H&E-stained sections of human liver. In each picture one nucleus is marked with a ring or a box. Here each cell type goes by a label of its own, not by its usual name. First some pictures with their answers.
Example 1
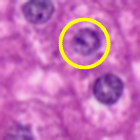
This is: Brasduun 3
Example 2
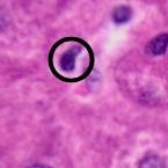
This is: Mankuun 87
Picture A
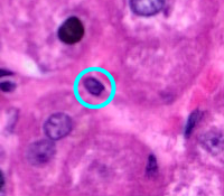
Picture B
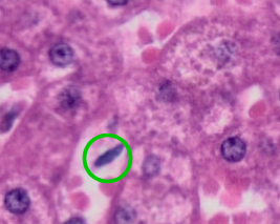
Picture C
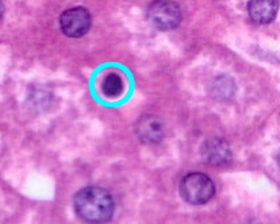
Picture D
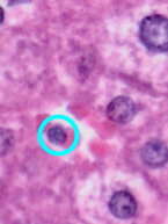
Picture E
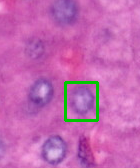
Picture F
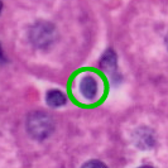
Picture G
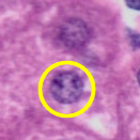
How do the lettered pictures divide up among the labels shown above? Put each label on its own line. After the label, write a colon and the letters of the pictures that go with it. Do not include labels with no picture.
Brasduun 3: E, G
Mankuun 87: A, B, C, D, F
